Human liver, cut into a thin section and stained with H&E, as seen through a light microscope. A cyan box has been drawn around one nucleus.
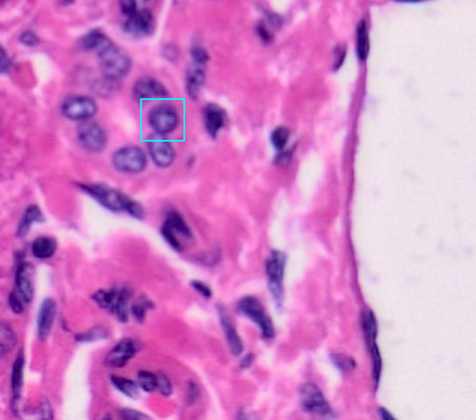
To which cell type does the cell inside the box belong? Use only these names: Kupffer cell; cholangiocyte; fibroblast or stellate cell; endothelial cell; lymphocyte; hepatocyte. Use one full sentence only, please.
For cell typing purposes, the cell inside the box is a cholangiocyte.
